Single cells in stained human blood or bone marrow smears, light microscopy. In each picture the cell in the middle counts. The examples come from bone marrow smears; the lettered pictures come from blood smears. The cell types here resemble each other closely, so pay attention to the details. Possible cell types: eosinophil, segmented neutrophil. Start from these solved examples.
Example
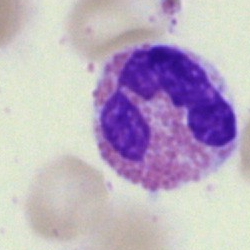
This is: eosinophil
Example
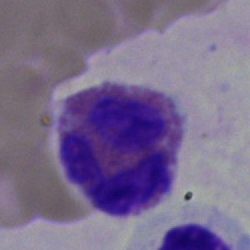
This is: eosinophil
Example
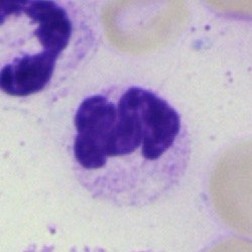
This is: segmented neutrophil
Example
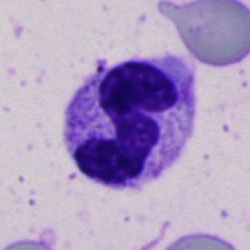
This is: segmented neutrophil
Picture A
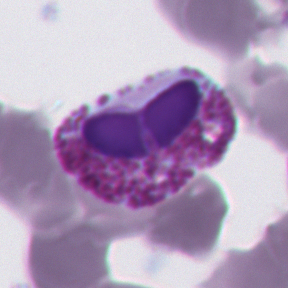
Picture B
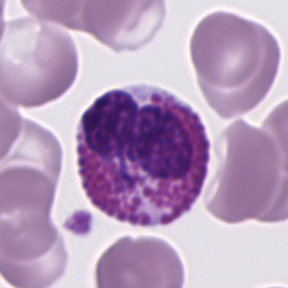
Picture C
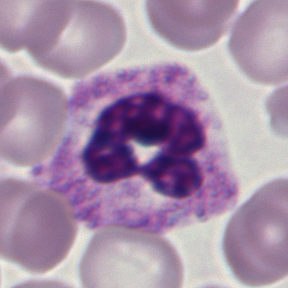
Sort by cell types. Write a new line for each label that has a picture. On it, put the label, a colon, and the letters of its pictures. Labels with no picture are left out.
eosinophil: A, B
segmented neutrophil: C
